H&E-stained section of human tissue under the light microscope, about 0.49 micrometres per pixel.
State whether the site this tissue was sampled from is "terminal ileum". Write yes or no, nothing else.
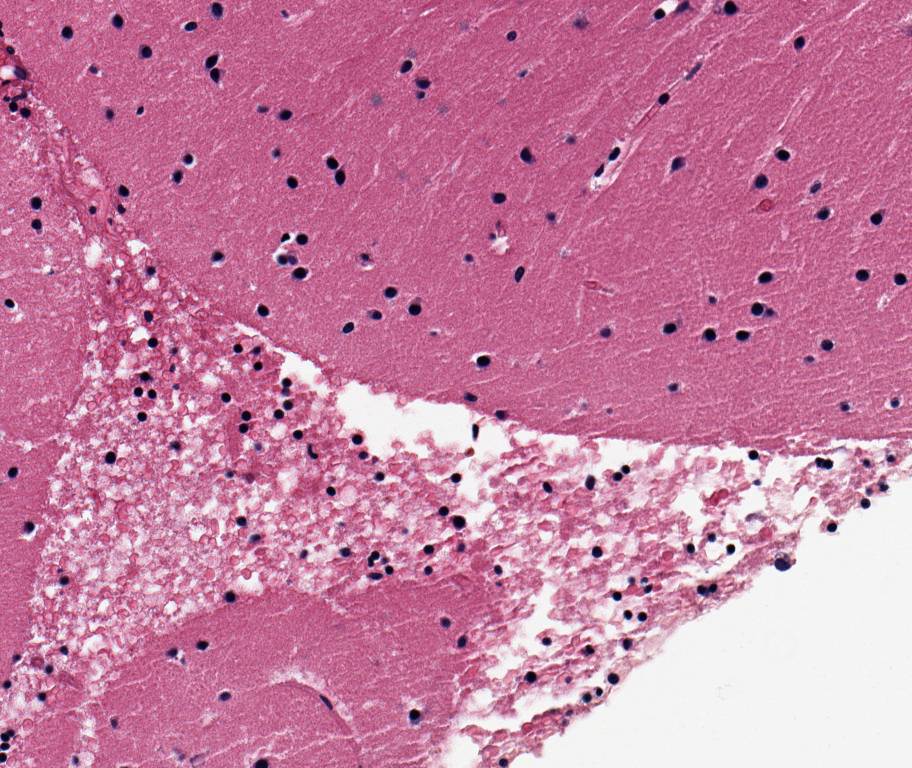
no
